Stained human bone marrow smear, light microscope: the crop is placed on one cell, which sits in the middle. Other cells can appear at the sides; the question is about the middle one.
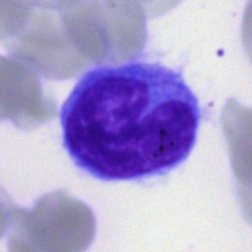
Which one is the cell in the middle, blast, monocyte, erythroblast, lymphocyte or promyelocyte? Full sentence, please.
Looking at the middle of the crop, the cell there is a monocyte.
